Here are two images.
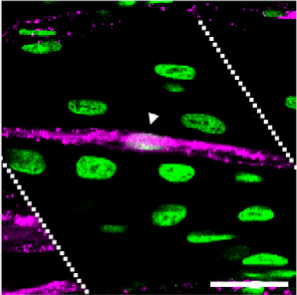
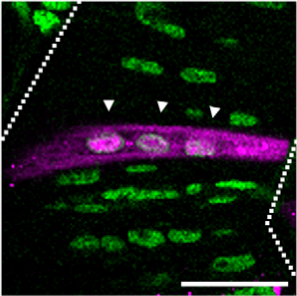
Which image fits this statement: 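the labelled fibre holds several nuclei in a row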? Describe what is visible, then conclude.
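First image: the thin magenta fibre holds a single nucleus. Second image: the magenta fibre holds three nuclei in a row.
Answer: the second image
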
